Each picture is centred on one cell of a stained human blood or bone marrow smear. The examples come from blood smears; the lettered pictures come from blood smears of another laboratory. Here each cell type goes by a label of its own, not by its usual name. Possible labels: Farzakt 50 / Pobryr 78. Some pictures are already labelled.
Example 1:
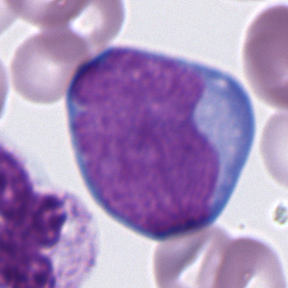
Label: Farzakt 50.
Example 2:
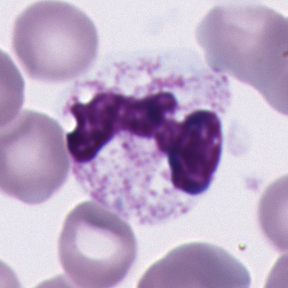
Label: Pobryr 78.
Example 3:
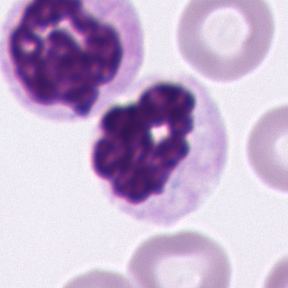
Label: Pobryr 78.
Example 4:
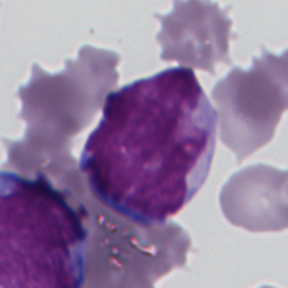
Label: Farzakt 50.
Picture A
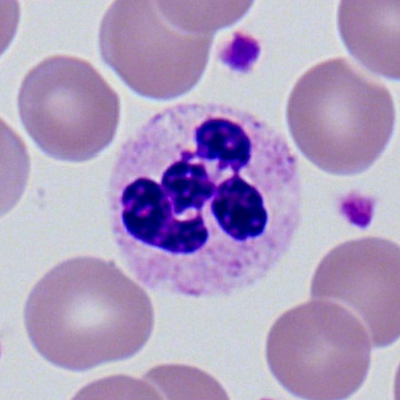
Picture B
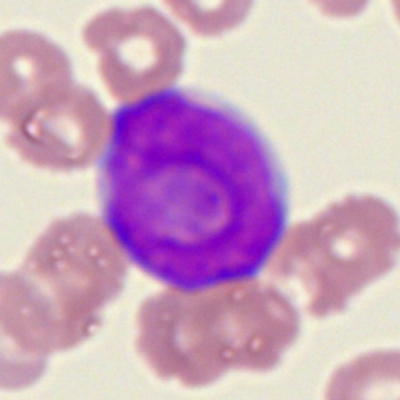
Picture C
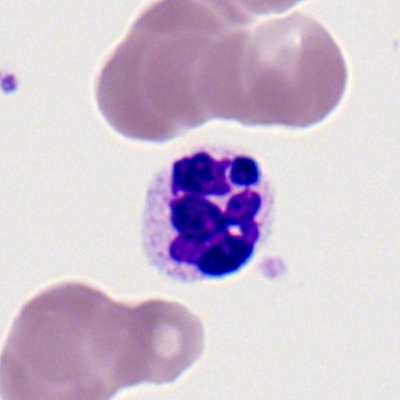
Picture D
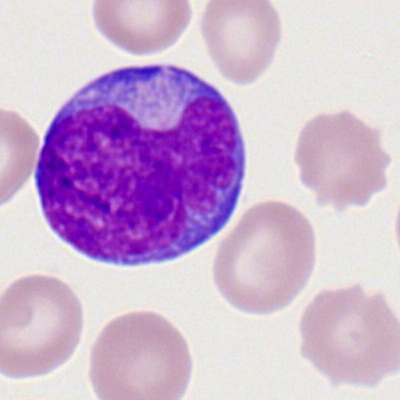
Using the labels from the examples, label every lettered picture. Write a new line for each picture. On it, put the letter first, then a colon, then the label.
A: Pobryr 78.
B: Farzakt 50.
C: Pobryr 78.
D: Farzakt 50.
